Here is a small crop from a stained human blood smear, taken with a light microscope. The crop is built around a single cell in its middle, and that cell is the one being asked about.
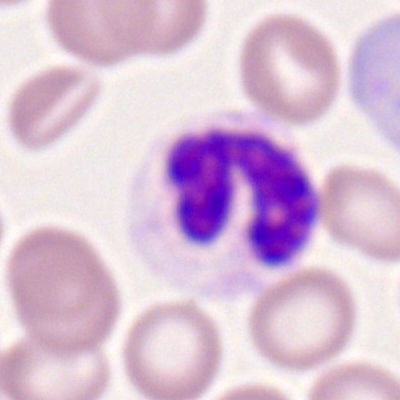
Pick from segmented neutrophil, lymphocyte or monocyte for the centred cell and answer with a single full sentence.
Standing at the centre of this crop is a segmented neutrophil.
